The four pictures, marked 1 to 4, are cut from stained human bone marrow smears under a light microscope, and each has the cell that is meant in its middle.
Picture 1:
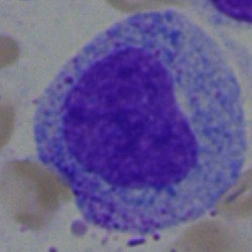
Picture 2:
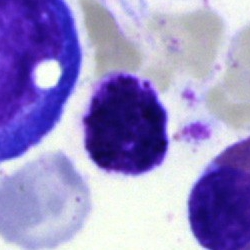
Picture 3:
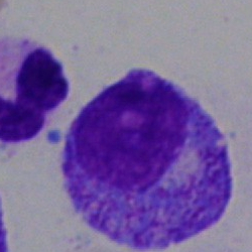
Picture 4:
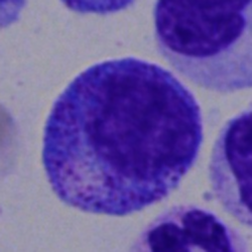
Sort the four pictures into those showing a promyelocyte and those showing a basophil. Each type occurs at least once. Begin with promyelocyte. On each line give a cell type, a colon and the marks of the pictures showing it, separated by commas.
promyelocyte: 1, 3, 4
basophil: 2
